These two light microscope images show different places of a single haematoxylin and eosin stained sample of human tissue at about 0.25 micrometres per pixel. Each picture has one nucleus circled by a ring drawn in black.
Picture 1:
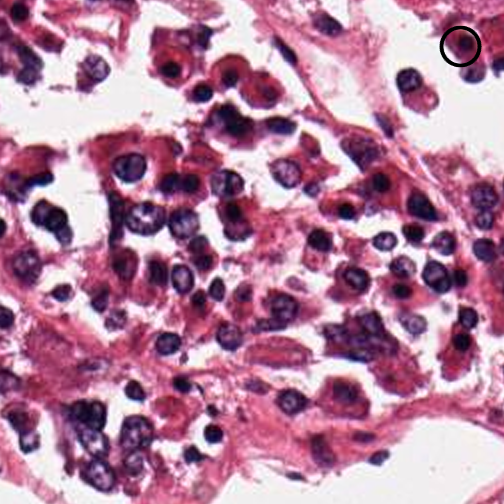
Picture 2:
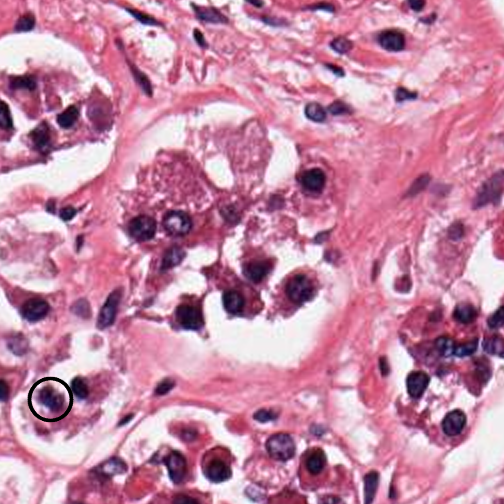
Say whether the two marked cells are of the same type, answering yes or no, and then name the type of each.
Yes, both are anterior pituitary cells.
